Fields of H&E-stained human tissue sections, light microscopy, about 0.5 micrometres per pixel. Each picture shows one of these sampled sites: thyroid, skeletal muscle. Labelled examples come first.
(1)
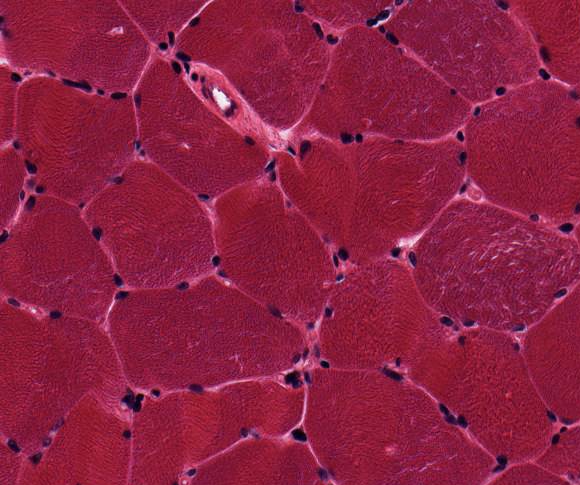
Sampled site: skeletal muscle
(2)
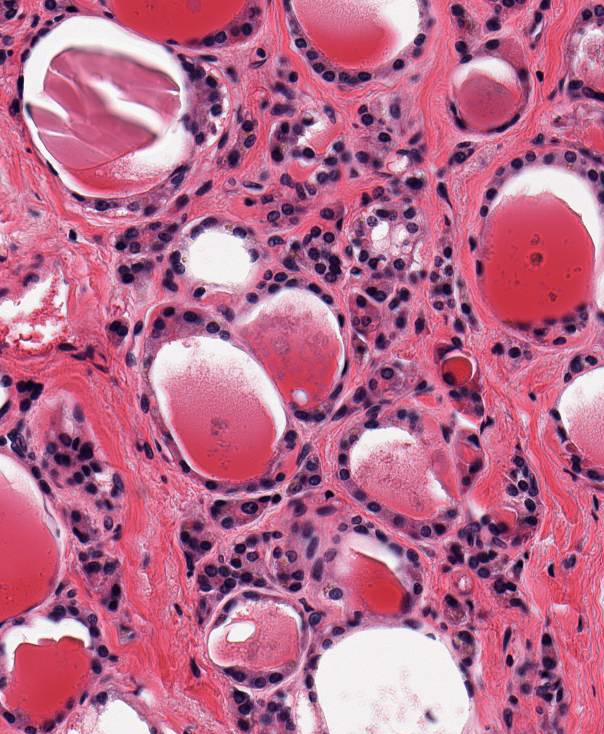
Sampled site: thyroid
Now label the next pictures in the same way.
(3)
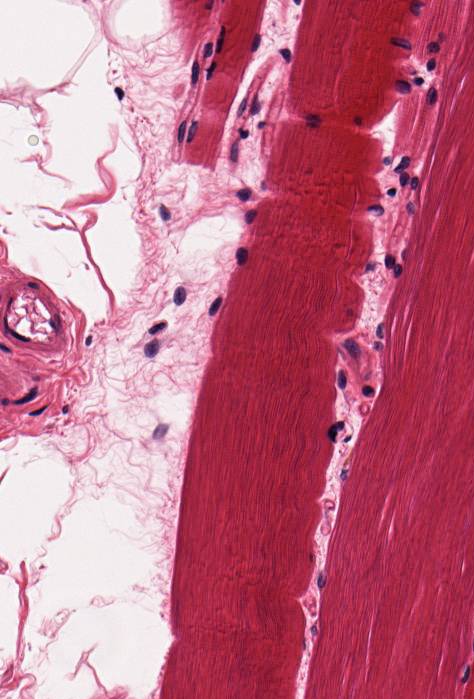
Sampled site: skeletal muscle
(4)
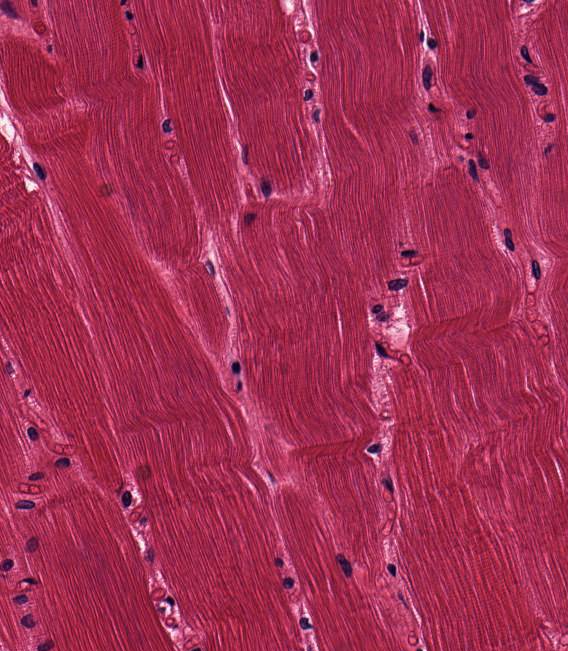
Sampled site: skeletal muscle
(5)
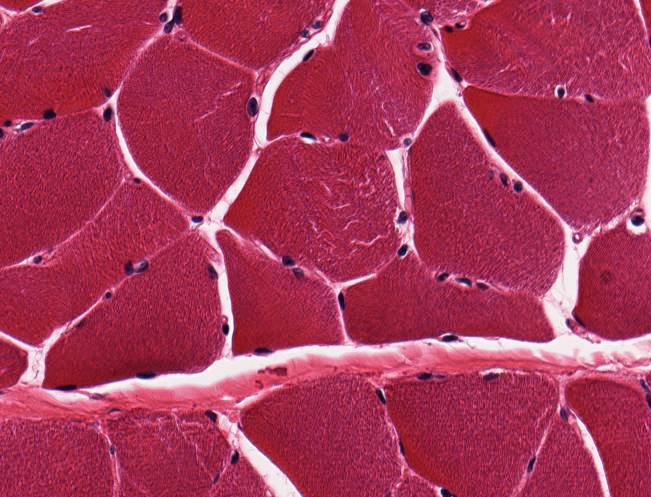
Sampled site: skeletal muscle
